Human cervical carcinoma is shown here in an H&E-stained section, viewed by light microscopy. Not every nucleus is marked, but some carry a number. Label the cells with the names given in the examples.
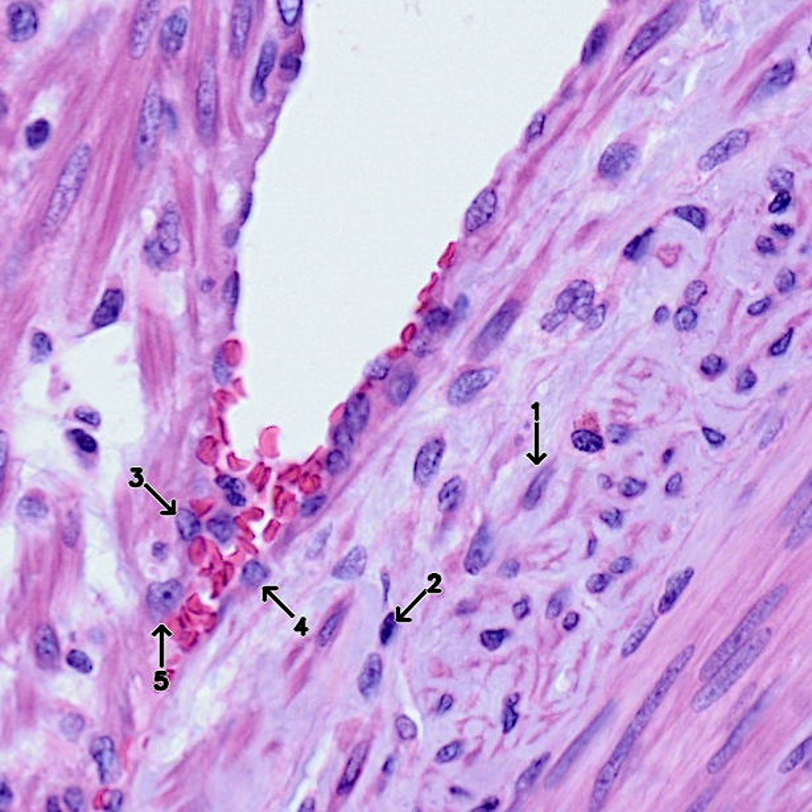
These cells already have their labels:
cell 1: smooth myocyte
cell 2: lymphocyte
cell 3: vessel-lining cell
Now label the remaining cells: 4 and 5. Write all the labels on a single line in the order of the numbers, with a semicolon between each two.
vessel-lining cell; vessel-lining cell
